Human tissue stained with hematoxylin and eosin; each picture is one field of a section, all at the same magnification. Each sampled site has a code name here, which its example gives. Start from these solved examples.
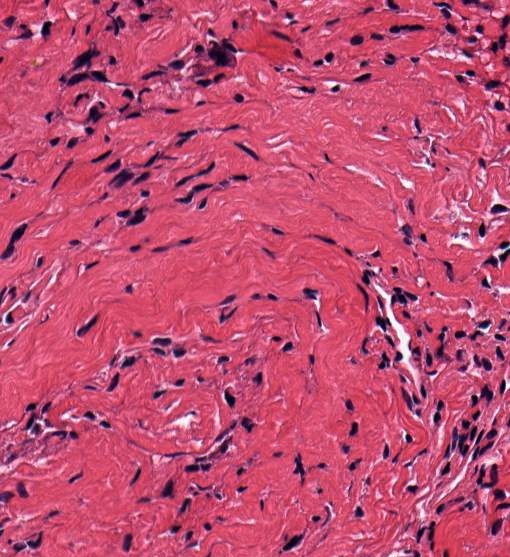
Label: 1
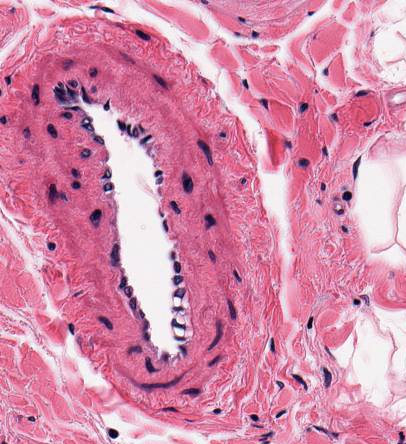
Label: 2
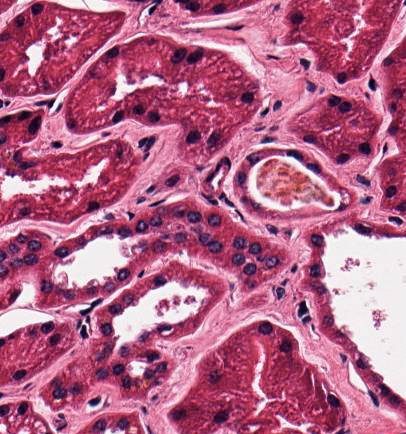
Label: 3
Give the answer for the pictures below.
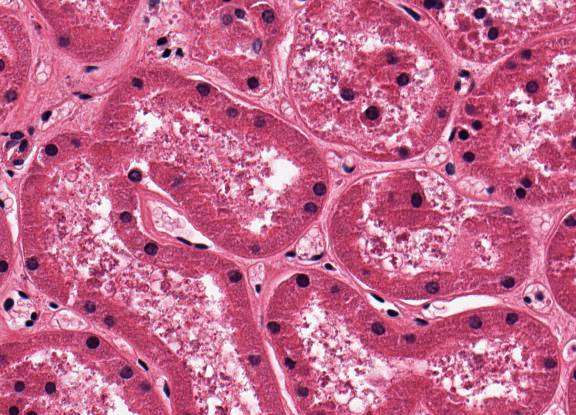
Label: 3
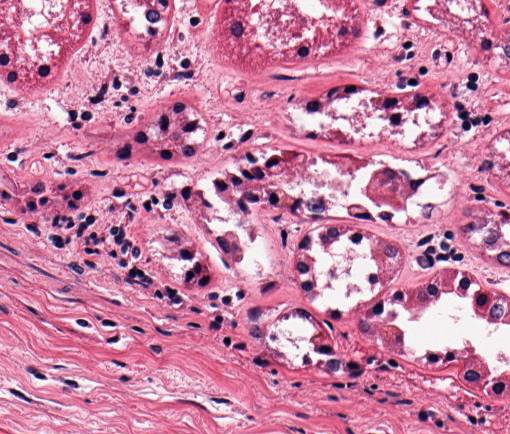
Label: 3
